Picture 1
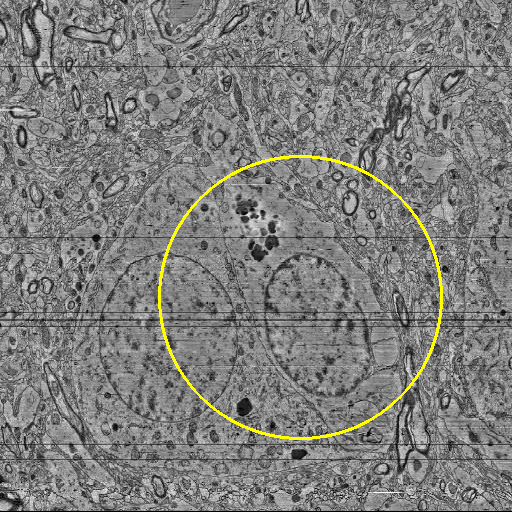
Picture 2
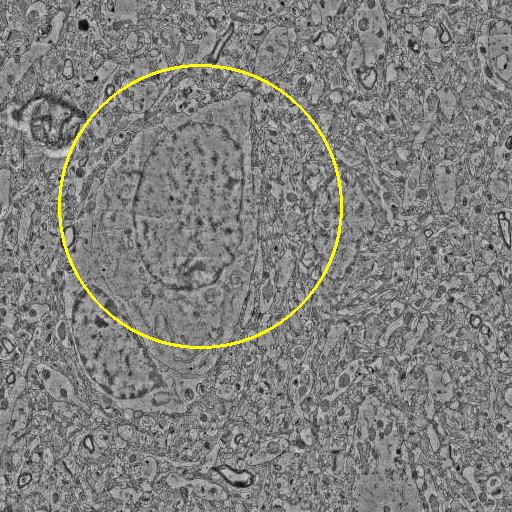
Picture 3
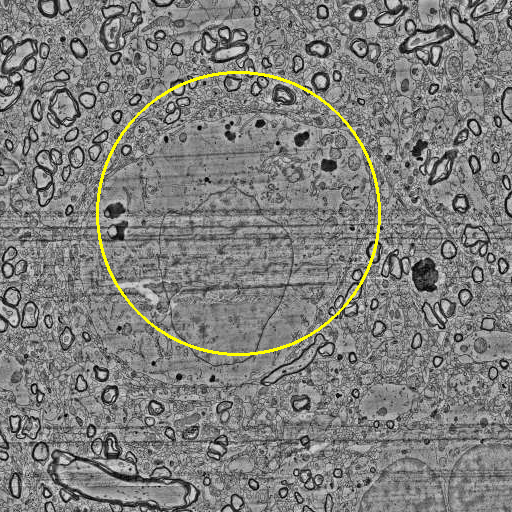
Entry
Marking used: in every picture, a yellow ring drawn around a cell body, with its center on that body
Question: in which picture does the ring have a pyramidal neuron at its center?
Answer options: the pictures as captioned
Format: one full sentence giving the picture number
Picture 3 is where the ring's center falls on the requested cell.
